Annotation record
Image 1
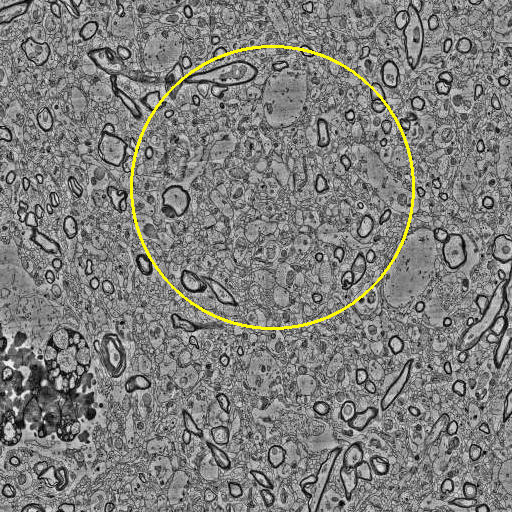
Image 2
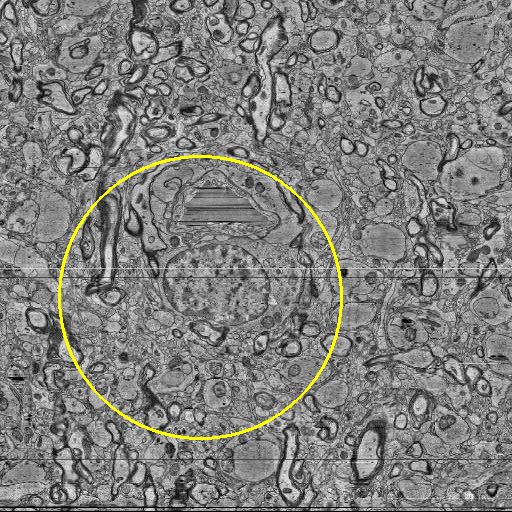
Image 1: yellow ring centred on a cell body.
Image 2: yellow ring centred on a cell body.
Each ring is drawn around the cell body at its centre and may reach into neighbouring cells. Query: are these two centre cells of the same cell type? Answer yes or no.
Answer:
yes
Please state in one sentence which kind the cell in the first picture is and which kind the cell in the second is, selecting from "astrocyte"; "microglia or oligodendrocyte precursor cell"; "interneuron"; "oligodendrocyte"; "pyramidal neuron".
Each of the two rings is centred on an oligodendrocyte.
